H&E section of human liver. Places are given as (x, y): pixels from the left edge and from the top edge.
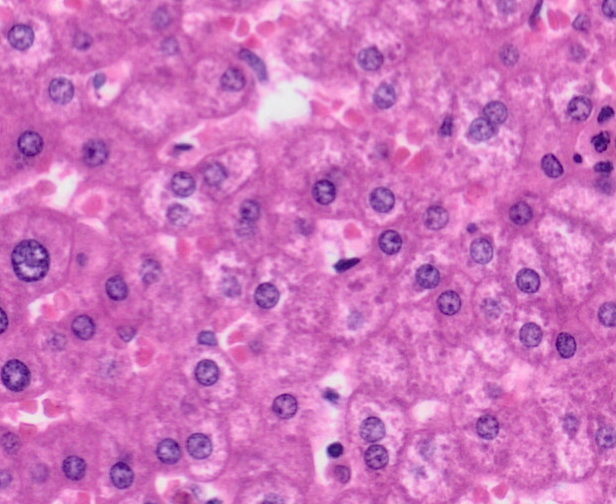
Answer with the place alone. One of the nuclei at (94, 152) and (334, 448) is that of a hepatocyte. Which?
(94, 152)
